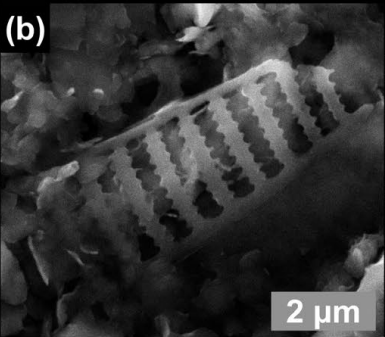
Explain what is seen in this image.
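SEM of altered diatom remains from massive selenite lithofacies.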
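The valve runs diagonally across the picture and shows a row of regularly spaced transverse ribs separated by openings, giving it a ladder-like appearance. The edges of the ribs are uneven and eroded, and the openings vary in shape. A smooth margin bounds the valve along one side. Flaky and platy particles, brighter at their edges, lie over the ends of the valve and fill the surroundings, partly obscuring its outline.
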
